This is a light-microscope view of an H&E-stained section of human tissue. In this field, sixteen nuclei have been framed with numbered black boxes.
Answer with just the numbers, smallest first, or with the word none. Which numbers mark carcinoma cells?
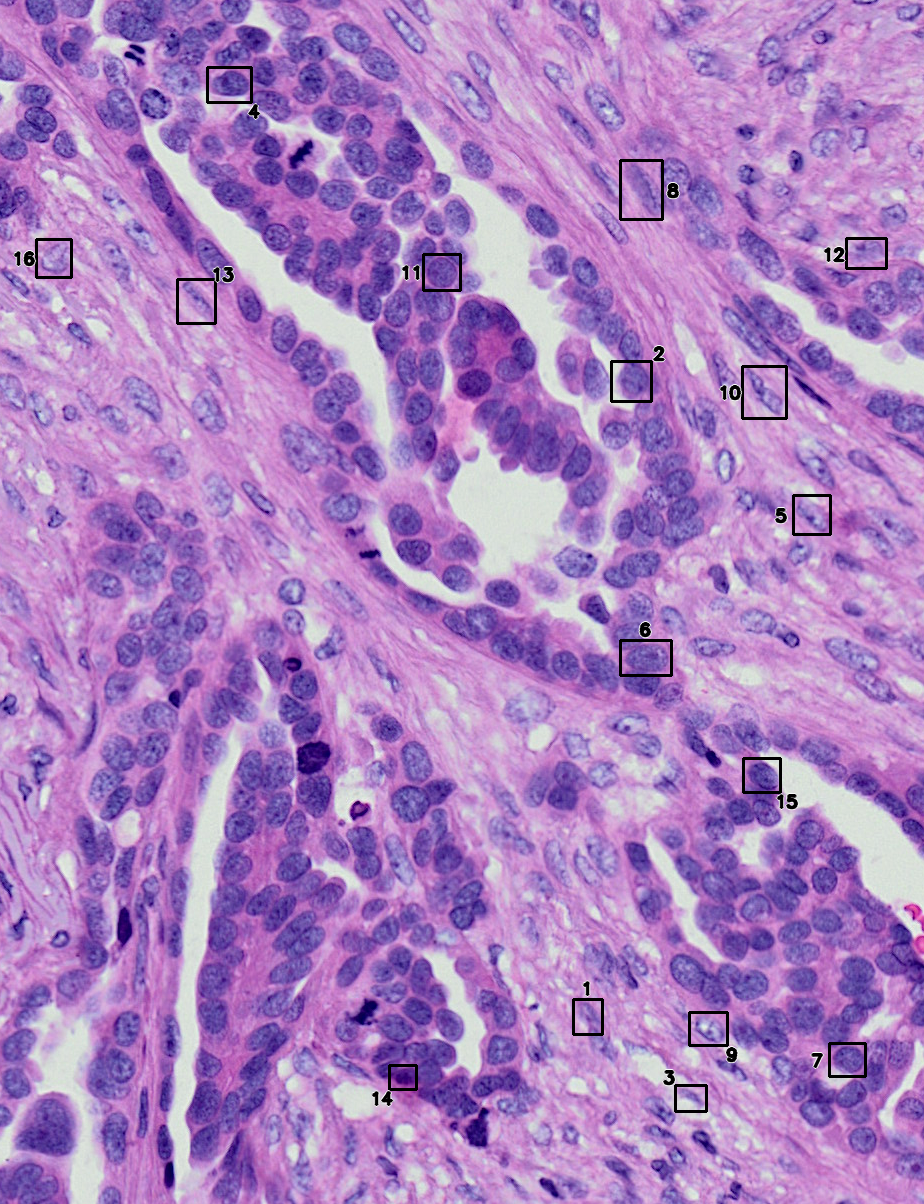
2, 4, 6, 7, 11, 14, 15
